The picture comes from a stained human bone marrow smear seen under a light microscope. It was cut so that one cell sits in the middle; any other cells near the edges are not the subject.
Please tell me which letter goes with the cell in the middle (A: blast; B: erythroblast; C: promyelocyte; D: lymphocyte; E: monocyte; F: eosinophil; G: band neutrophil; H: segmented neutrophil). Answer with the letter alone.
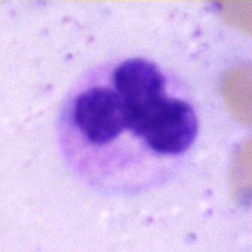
H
